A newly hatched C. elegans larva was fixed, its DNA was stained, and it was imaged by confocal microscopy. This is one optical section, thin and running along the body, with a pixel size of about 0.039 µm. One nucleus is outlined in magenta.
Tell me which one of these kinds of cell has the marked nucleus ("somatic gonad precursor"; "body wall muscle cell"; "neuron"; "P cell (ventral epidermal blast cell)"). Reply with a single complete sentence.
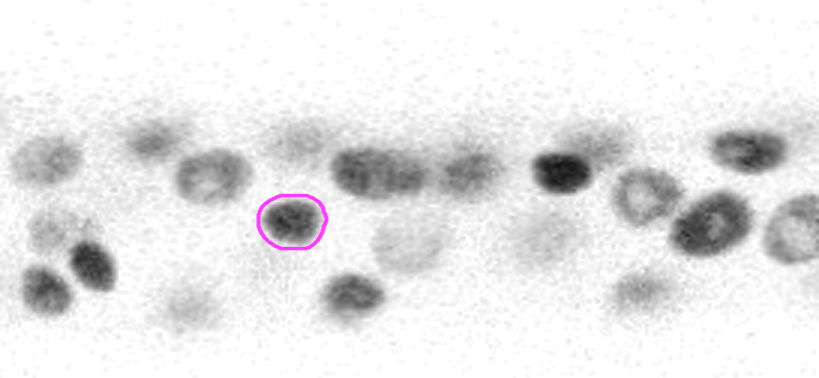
What is marked is the nucleus of a neuron.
